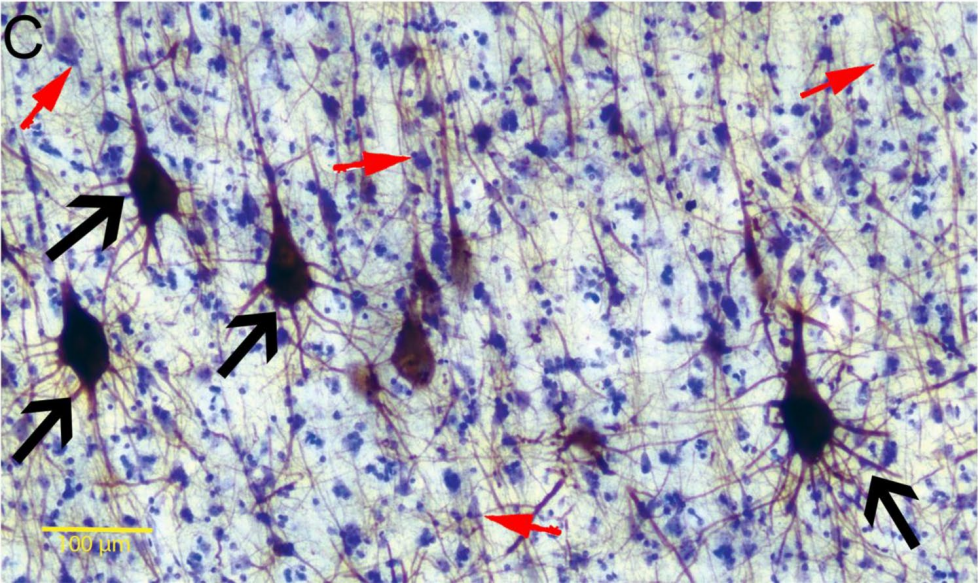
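Deep layer of motor cortex with several giant pyramidal cells, whose large triangular cell bodies are stained dark brown, each with a thick apical dendrite running upward and many basal dendrites radiating outward. Smaller pyramidal cell bodies, some brown and some only blue-violet, lie between them. Numerous small blue-violet nuclei are scattered throughout, and a dense meshwork of fine brown processes runs mostly vertically across the field.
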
